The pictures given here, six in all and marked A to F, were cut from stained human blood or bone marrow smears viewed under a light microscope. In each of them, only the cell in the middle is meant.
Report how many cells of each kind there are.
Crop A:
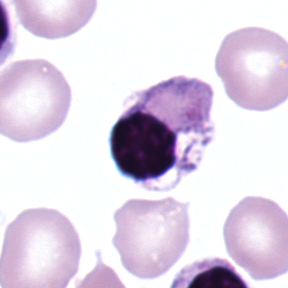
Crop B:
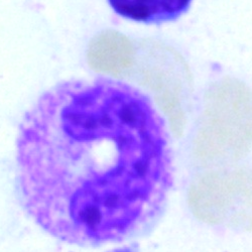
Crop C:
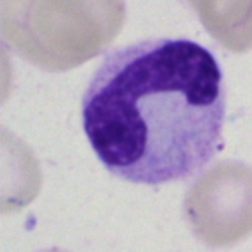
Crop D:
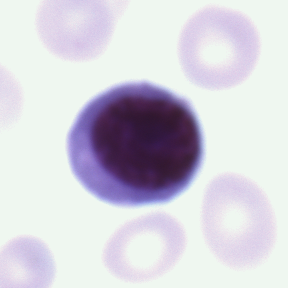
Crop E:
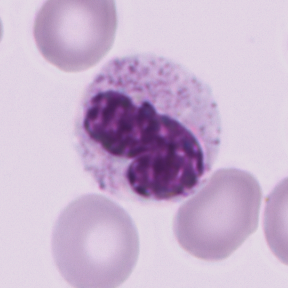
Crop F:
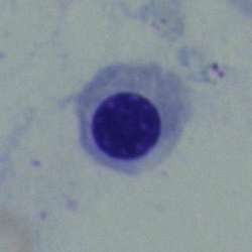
erythroblast: 3
band neutrophil: 3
